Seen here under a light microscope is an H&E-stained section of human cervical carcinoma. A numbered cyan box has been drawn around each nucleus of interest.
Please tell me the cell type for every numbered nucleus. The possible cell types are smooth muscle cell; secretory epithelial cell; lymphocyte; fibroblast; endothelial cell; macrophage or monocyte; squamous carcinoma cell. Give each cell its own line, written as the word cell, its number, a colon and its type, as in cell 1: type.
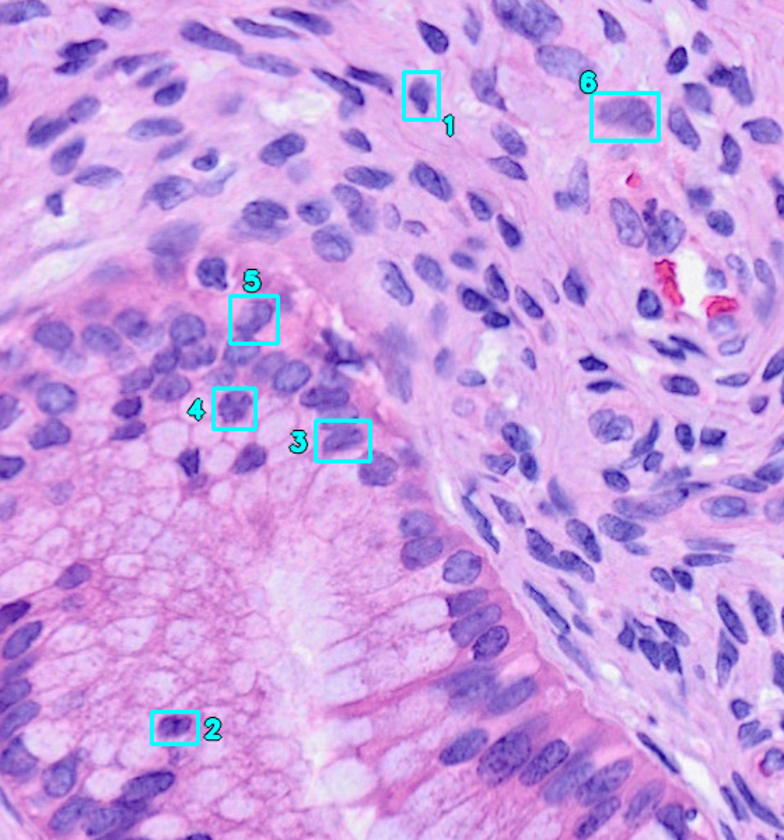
cell 1: fibroblast
cell 2: secretory epithelial cell
cell 3: secretory epithelial cell
cell 4: secretory epithelial cell
cell 5: secretory epithelial cell
cell 6: fibroblast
